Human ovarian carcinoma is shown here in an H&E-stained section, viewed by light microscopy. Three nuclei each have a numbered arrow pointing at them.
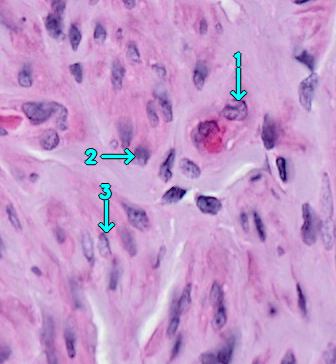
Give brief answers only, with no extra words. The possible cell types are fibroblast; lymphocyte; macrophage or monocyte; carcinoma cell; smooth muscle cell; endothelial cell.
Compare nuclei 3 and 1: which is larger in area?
1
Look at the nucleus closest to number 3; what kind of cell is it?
smooth muscle cell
